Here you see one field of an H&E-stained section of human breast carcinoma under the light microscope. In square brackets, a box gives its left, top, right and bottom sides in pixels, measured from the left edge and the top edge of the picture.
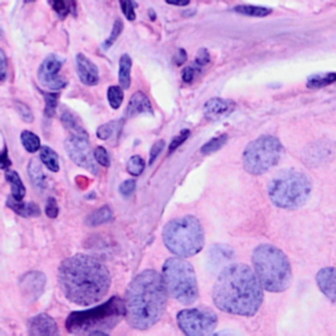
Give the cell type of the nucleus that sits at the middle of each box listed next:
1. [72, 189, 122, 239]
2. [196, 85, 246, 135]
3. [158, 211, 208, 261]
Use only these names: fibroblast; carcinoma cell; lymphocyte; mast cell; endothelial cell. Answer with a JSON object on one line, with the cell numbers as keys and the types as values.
{"1": "endothelial cell", "2": "fibroblast", "3": "carcinoma cell"}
